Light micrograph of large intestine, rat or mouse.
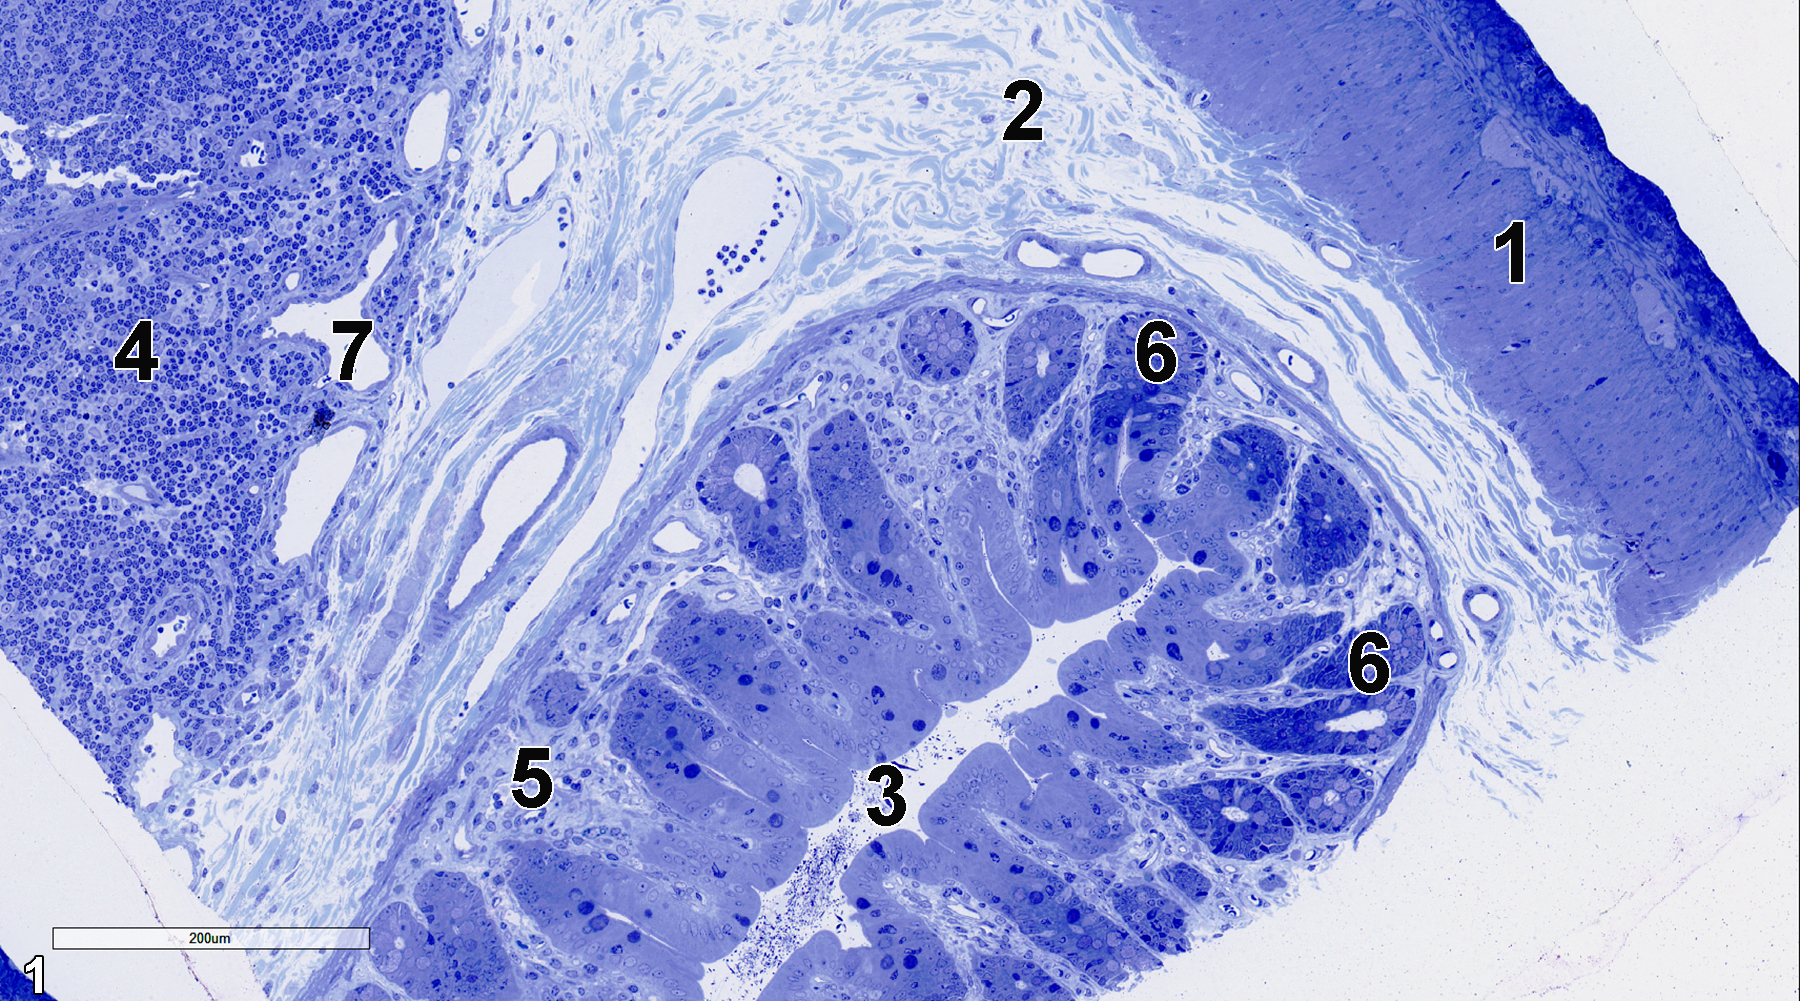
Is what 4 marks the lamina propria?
No: the lymphoid nodules.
